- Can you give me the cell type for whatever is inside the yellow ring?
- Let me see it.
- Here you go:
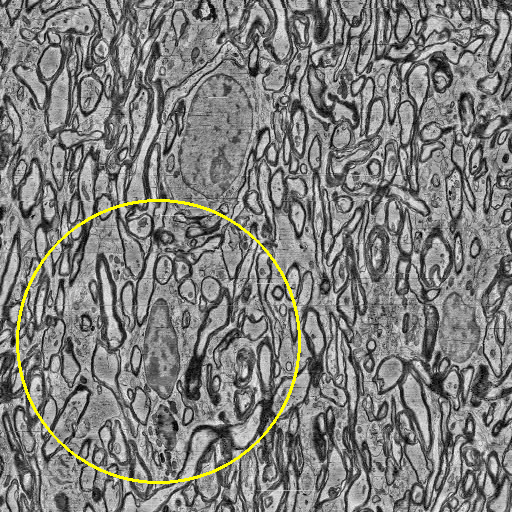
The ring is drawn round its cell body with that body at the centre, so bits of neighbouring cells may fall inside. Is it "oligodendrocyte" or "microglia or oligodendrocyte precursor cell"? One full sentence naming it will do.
The cell body in the middle of the ring in this picture belongs to a microglial cell or oligodendrocyte precursor cell.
